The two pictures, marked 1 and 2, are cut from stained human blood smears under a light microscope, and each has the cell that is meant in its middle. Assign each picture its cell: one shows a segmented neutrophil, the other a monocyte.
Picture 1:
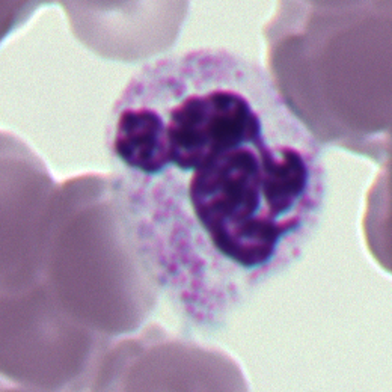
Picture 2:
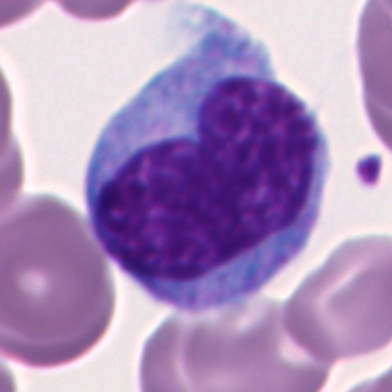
1: segmented neutrophil
2: monocyte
